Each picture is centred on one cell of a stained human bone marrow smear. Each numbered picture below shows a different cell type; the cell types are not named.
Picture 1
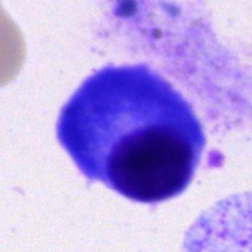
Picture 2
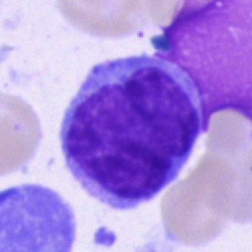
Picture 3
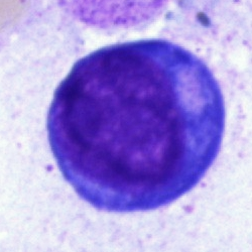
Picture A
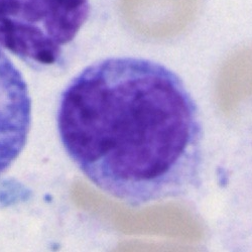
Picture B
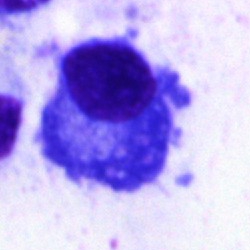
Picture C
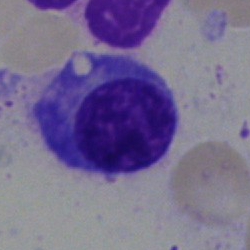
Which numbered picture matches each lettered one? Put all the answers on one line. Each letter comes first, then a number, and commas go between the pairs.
A 2, B 1, C 1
